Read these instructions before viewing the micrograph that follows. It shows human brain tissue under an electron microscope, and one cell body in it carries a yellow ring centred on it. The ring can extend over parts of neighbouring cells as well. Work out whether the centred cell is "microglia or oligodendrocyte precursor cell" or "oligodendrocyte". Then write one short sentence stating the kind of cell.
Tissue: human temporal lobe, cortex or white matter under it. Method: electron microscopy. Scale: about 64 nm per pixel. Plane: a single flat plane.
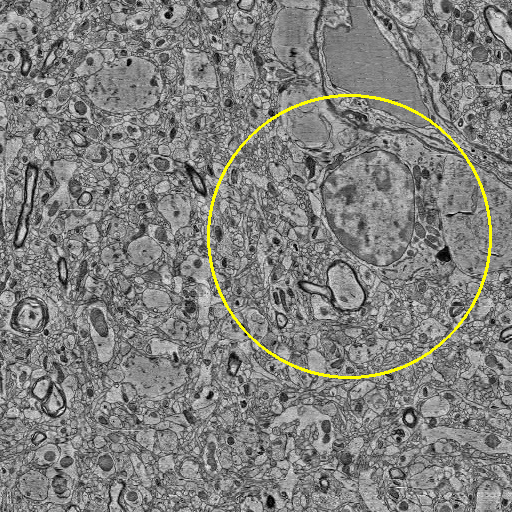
The ringed cell is a microglial cell or oligodendrocyte precursor cell.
